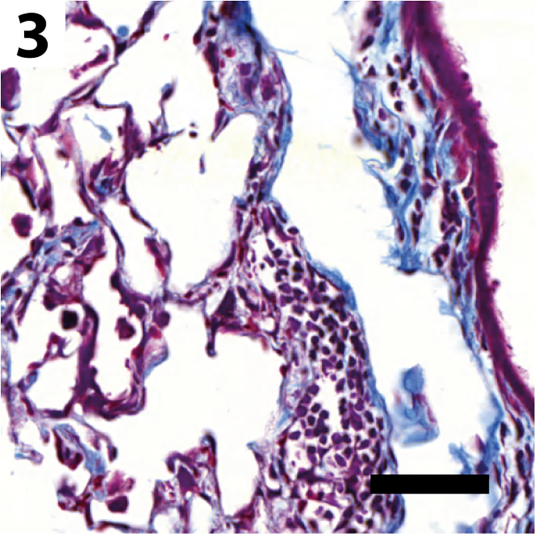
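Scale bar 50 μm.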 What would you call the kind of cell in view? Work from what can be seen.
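A dense band of small, closely packed cells with dark purple nuclei lies in the wall beside an air space. The packed cells far outnumber the scattered nuclei of the thin alveolar walls nearby.
Answer: inflammatory cells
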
